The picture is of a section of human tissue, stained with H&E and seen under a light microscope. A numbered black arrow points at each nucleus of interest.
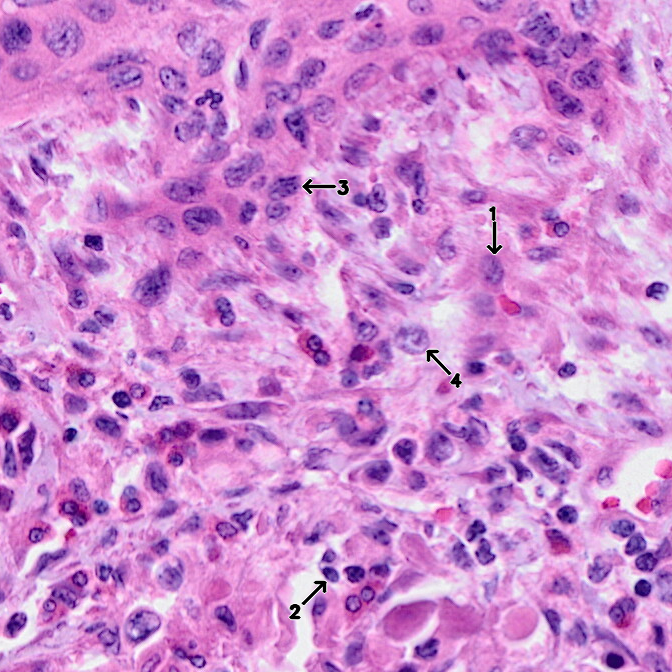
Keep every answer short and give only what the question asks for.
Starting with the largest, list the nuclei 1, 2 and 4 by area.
4, 1, 2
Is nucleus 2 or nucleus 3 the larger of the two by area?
3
